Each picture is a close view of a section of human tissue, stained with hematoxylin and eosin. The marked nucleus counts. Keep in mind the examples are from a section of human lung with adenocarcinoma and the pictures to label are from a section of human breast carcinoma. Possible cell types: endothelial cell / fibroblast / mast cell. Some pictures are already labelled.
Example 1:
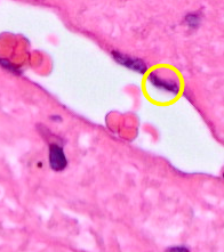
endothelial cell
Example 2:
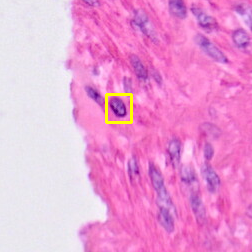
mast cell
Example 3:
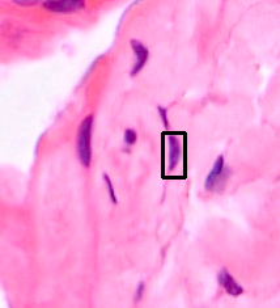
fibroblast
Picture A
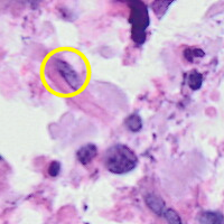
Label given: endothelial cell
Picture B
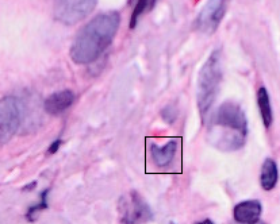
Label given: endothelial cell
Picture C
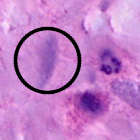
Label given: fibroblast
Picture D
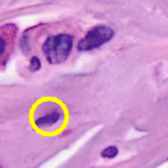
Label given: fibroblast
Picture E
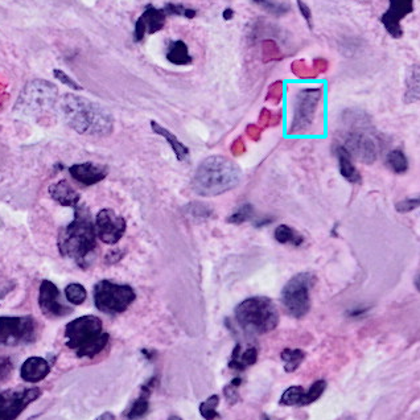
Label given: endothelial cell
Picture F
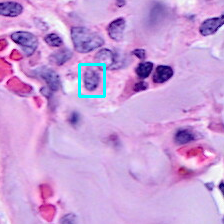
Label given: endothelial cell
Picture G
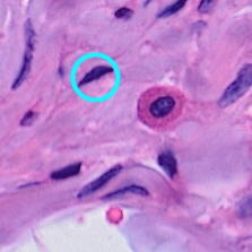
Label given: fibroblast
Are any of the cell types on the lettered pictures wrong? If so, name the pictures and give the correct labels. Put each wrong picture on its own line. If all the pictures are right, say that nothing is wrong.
Wrong: F (endothelial cell); correct: mast cell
